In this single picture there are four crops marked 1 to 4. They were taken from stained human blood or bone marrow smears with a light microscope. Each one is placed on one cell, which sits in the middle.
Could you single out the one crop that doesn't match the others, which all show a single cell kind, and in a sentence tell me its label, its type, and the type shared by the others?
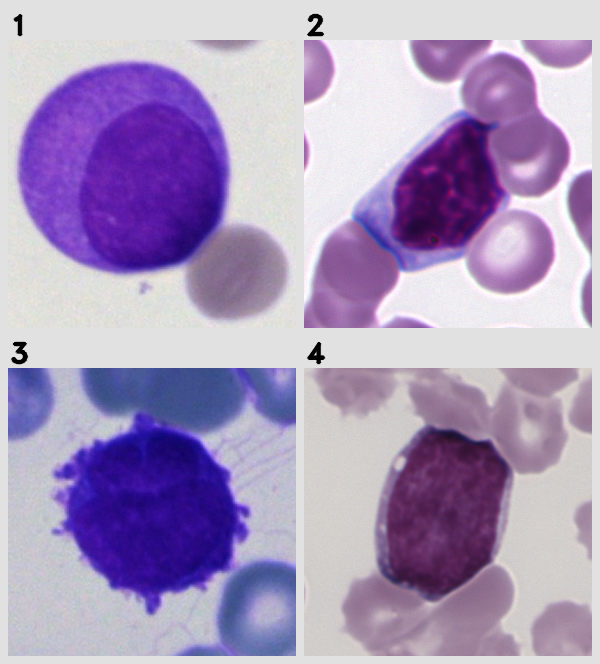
In this set, all crops show blasts apart from crop 2, which is a lymphocyte.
